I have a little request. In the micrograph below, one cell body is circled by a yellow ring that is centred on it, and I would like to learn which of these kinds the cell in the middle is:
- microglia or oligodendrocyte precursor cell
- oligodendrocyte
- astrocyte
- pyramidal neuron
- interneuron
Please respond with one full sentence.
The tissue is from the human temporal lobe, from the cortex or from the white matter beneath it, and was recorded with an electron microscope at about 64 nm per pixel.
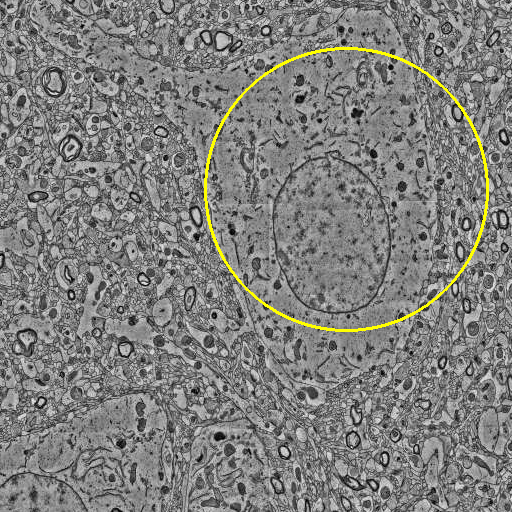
The cell sitting in the middle of the yellow ring in the micrograph is a pyramidal neuron.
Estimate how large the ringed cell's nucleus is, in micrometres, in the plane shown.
The ringed cell's nucleus is about 10 micrometres long and 7 micrometres wide in this plane.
